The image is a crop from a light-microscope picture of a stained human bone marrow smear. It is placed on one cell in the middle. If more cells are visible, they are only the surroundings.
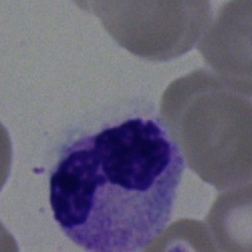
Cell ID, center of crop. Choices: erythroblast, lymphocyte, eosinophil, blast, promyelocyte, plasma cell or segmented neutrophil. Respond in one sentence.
Among the cells in view, the one in the middle is a segmented neutrophil.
